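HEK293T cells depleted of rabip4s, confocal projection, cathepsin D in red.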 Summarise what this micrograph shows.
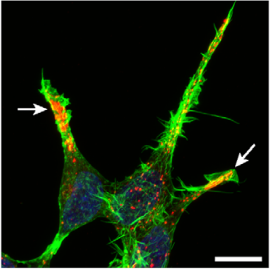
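Cultured cells with blue nuclei whose edges and extensions are outlined by bright green filamentous bundles. Several long, slender cellular protrusions stretch out from the cell bodies, some ending in fine spiky filaments. Red puncta lie in small groups over the cell bodies and are concentrated within the protrusions, forming elongated red clusters along and near their ends.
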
